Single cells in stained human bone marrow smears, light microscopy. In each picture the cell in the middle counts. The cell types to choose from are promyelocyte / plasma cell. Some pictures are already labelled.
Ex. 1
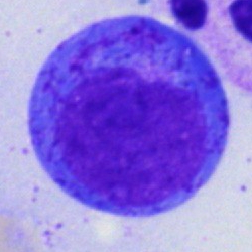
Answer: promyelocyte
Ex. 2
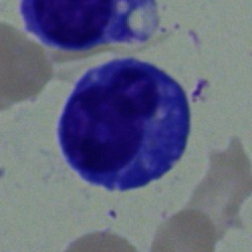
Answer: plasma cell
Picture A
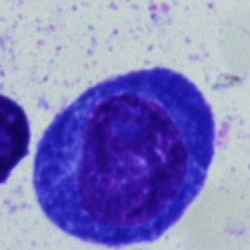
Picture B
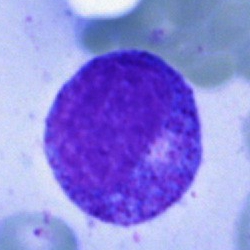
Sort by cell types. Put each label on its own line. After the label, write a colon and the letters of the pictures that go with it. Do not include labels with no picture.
promyelocyte: B
plasma cell: A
